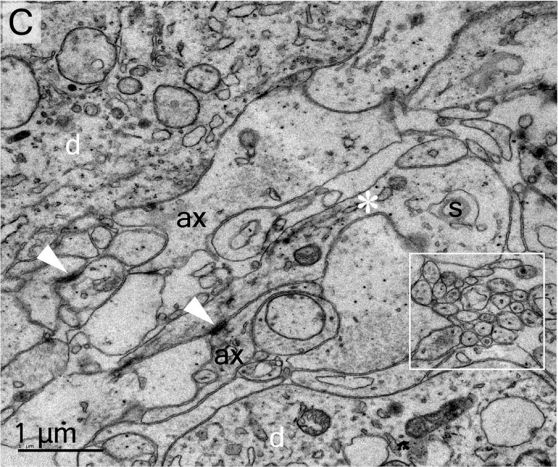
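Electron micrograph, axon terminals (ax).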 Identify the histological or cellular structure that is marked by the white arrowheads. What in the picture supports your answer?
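The white arrowheads point to short dark thickenings of apposed membranes. The thickenings lie between a profile labelled ax and an adjoining profile. The answer: synaptic contact.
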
